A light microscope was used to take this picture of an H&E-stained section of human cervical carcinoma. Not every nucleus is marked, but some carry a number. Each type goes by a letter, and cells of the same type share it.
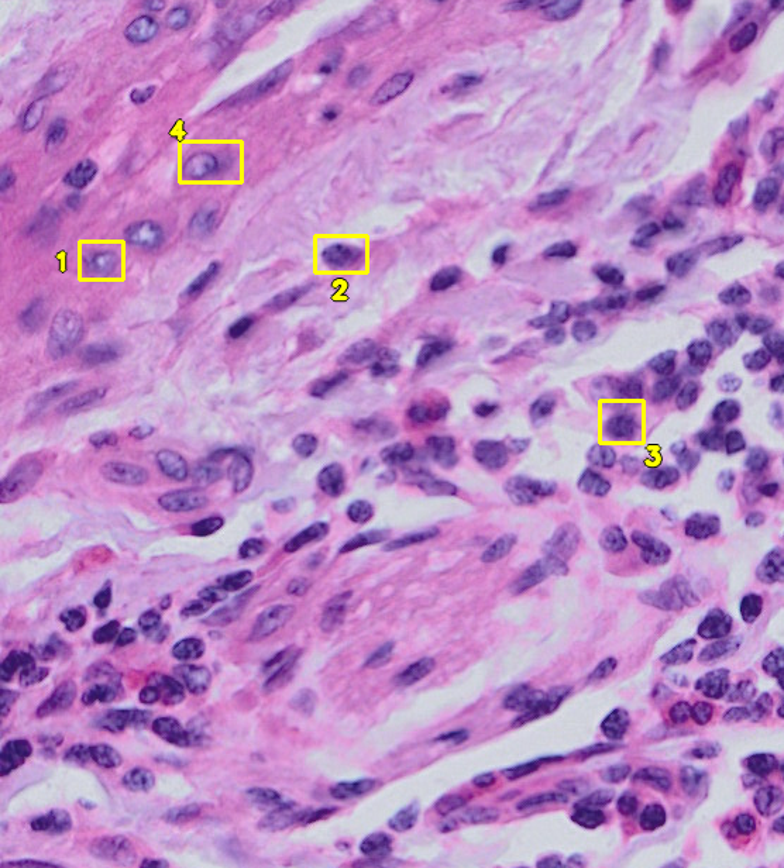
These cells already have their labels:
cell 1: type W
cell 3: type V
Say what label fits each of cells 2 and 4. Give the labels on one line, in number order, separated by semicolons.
type V; type W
